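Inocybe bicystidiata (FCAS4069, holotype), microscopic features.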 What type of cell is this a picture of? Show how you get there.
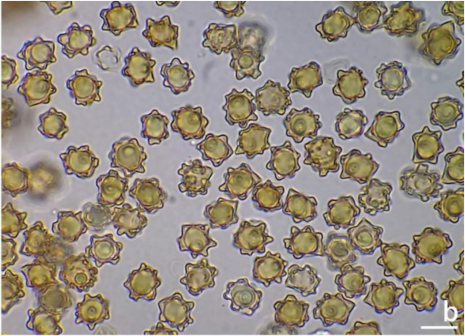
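Separate small cells scattered over a clear background. Each has a star-like outline with several blunt projections. Walls are yellow-brown and thick. So: Basidiospores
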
